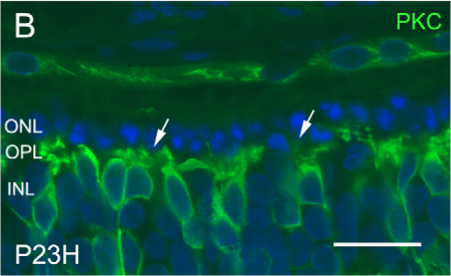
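Degenerating outer retina with rod bipolar cells. Beneath a thin plexiform band, green-outlined bipolar cell bodies lie in the inner nuclear layer; their upward processes end in short, sparse green tufts rather than dense bushy dendrites, and the plexiform layer appears thin and patchy.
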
